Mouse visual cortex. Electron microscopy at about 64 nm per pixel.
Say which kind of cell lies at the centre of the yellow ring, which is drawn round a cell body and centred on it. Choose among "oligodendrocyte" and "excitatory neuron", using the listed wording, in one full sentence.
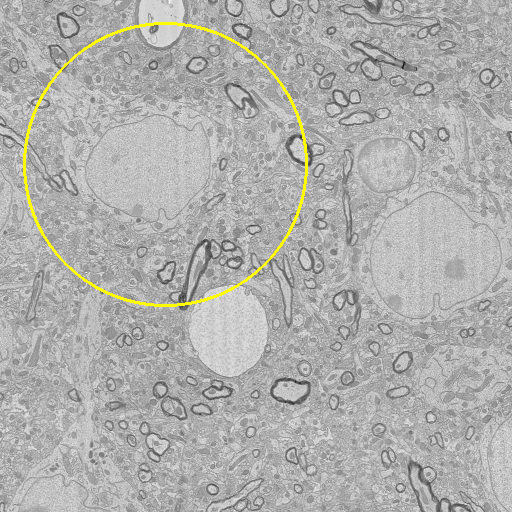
Going by the list, the cell at the yellow ring's centre is an excitatory neuron.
